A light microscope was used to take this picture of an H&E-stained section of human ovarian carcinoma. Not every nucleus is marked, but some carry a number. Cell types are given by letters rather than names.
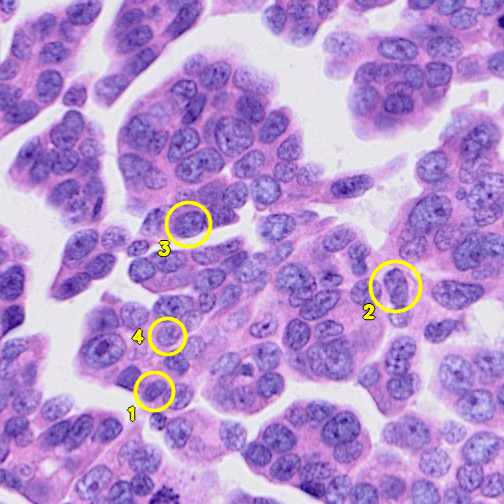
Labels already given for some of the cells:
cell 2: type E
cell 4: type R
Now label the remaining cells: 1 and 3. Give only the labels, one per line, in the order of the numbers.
type R
type R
